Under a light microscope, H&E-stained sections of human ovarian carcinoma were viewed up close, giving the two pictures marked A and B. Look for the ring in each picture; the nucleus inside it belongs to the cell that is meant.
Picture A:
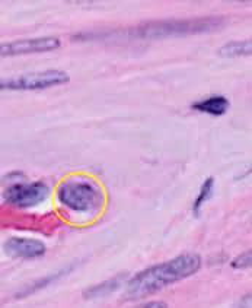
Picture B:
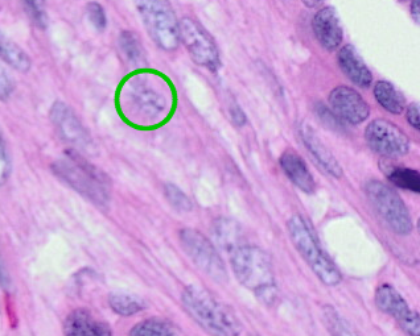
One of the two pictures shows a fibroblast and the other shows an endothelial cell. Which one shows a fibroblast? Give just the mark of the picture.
B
